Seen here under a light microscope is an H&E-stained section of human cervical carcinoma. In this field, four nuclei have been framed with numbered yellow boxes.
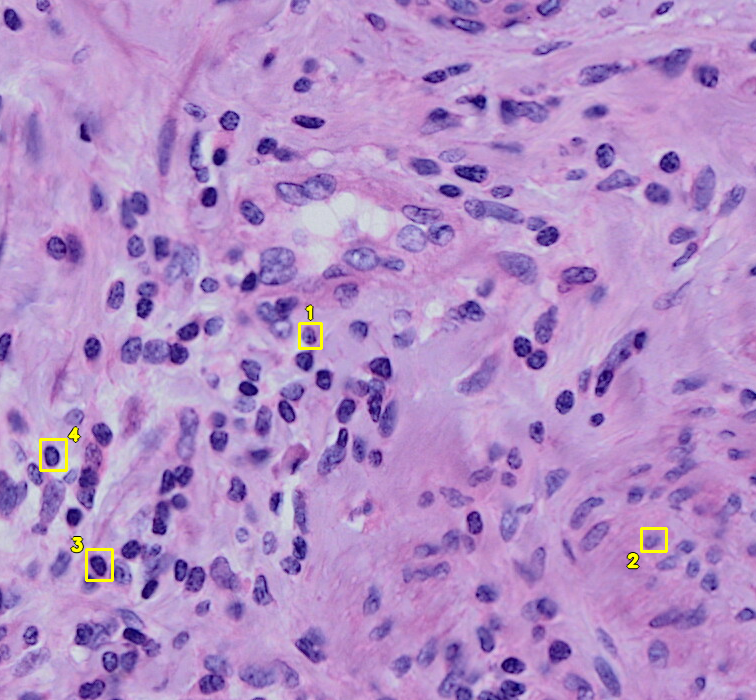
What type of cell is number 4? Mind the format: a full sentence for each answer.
The one numbered 4 among the marked cells is a lymphocyte.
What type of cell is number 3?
The label 3 in this section denotes a lymphocyte.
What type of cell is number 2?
The cell tagged with 2 in this tissue section is a smooth muscle cell.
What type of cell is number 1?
That cell with number 1 is a lymphocyte.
